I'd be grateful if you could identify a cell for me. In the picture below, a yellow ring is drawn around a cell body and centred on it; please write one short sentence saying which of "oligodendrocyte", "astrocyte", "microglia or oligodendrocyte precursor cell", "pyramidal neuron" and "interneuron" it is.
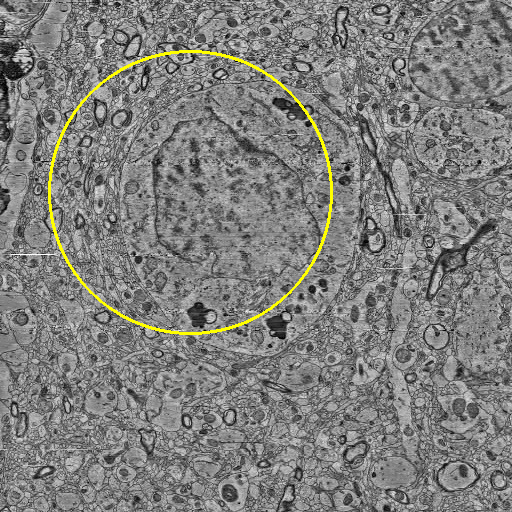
The cell under the ring's centre is a pyramidal neuron.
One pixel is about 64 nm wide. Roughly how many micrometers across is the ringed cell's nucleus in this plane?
In this plane the nucleus is about 12 micrometres by 10.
